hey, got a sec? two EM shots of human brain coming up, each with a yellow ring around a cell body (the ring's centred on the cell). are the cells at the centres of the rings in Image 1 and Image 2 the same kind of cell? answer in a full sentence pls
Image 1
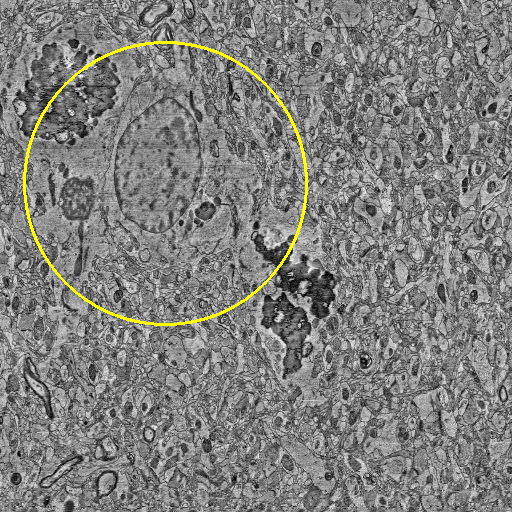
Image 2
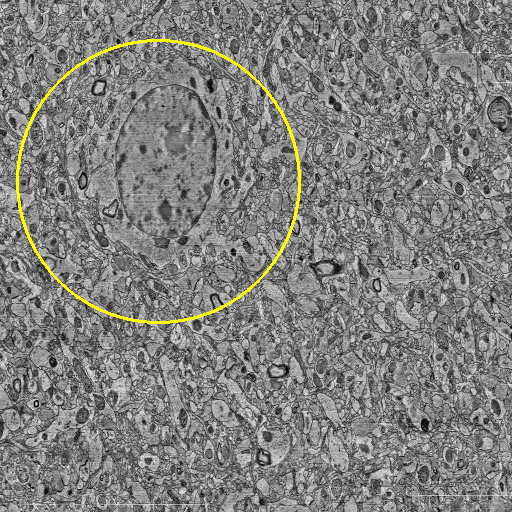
Yes, both are the same kind of cell.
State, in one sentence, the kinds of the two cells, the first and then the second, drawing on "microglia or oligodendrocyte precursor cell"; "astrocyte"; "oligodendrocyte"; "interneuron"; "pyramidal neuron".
In both pictures the ring is centred on an astrocyte.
